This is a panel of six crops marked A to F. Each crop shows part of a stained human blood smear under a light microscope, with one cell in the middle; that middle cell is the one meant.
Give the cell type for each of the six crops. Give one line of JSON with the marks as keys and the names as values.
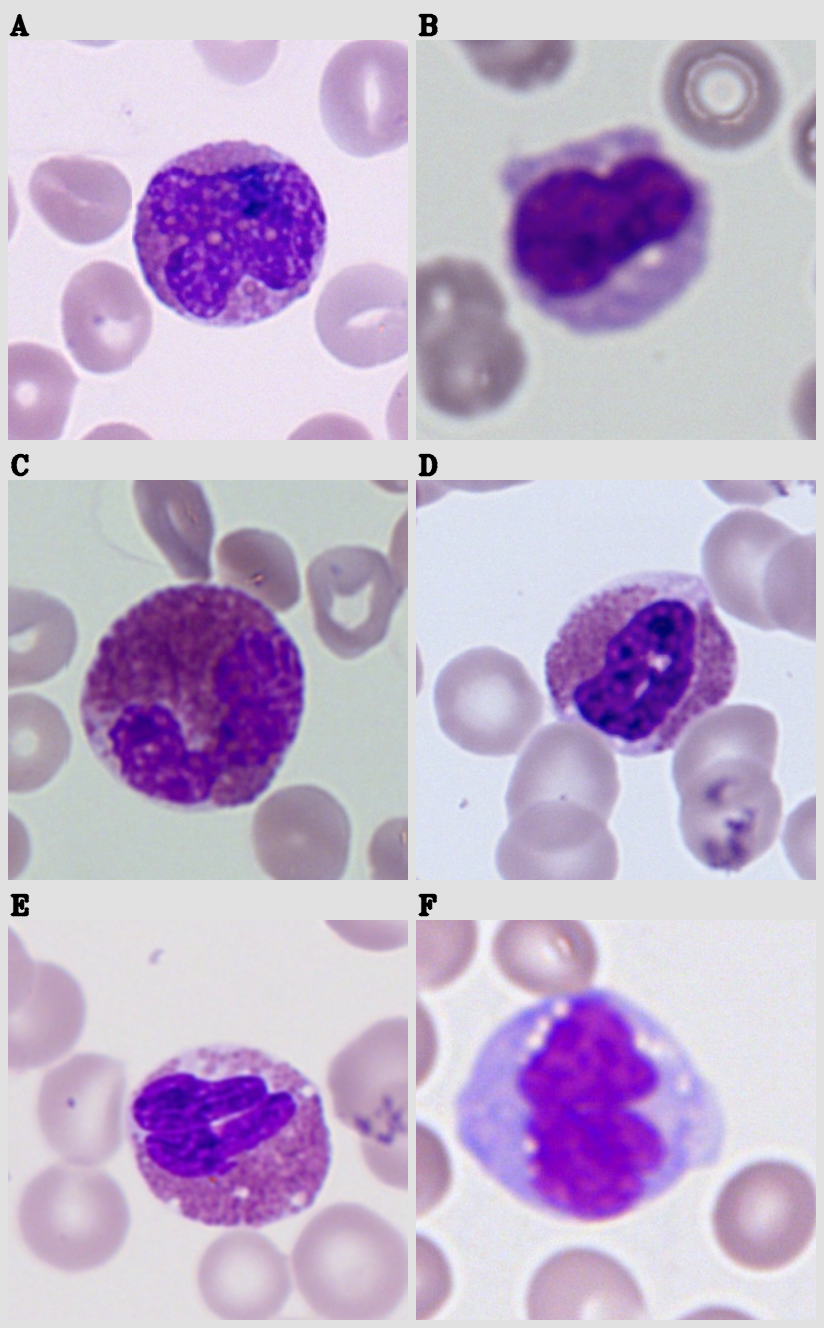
{"A": "eosinophil", "B": "monocyte", "C": "eosinophil", "D": "eosinophil", "E": "eosinophil", "F": "monocyte"}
